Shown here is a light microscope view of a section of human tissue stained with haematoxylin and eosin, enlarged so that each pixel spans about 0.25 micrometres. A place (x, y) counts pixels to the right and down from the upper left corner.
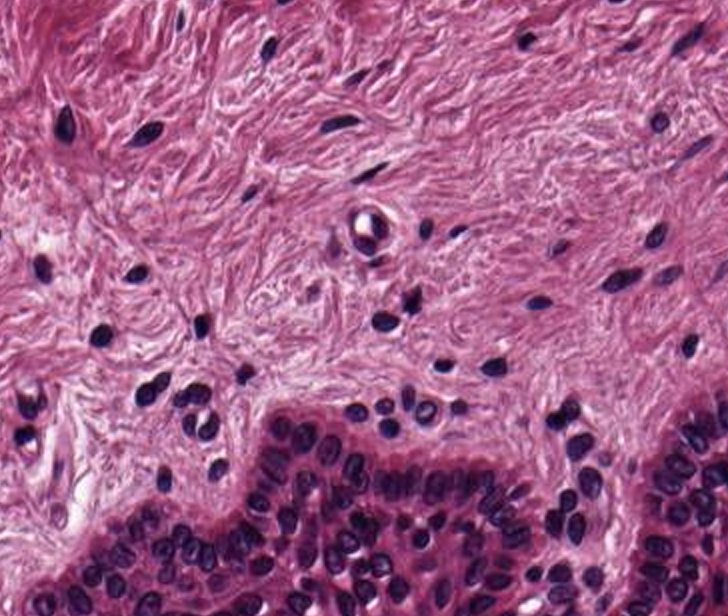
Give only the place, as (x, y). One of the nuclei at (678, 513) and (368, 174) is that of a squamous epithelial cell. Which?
(678, 513)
